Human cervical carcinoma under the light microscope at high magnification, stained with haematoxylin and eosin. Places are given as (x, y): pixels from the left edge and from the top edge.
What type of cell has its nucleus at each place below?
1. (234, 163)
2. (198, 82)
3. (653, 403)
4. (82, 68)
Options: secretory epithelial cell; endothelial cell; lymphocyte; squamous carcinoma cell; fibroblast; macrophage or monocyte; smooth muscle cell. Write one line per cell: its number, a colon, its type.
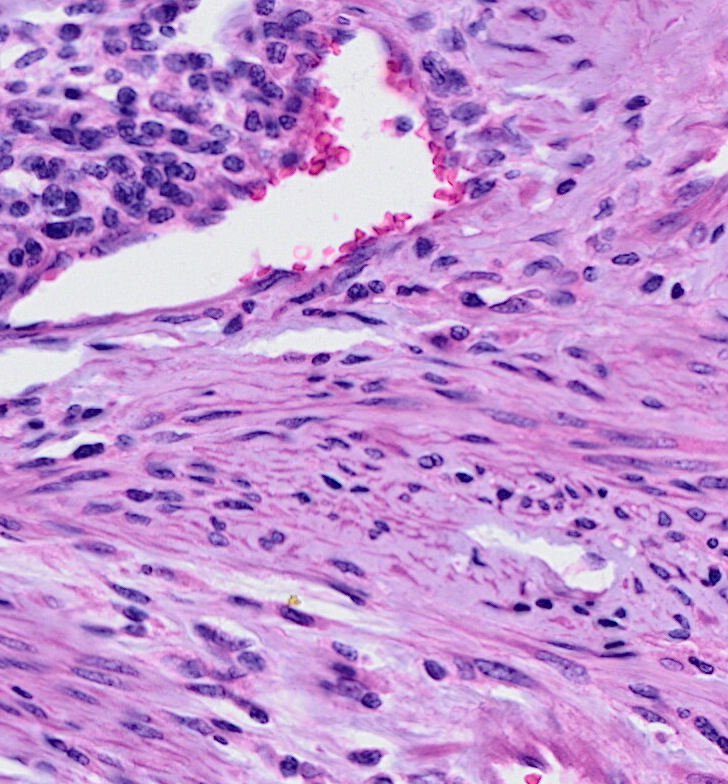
1: lymphocyte
2: lymphocyte
3: smooth muscle cell
4: lymphocyte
